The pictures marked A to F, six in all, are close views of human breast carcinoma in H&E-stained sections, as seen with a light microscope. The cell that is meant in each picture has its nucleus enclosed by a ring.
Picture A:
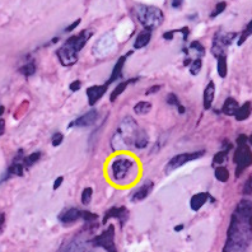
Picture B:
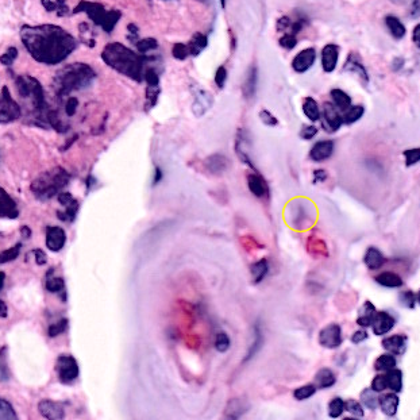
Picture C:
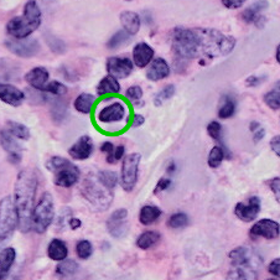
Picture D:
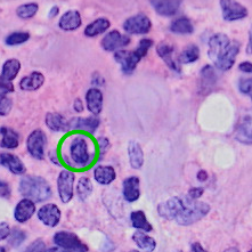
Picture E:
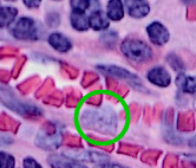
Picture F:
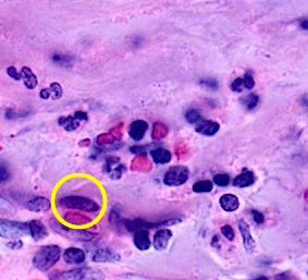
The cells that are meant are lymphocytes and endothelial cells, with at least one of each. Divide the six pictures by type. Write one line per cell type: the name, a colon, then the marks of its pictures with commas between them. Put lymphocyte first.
lymphocyte: C, D
endothelial cell: A, B, E, F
